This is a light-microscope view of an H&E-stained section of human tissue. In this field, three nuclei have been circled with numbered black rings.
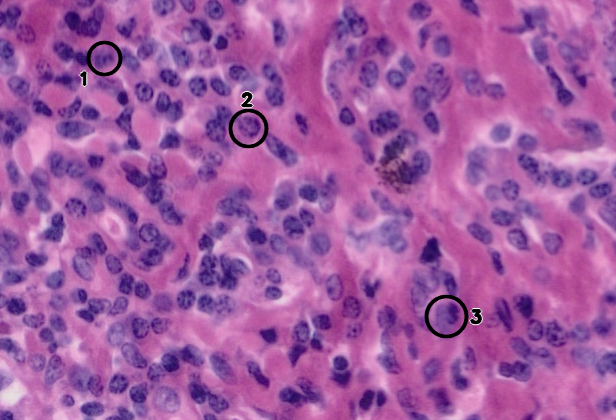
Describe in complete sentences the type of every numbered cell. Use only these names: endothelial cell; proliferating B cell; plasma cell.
Cells 1 and 2 are plasma cells. Cell 3 is an endothelial cell.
